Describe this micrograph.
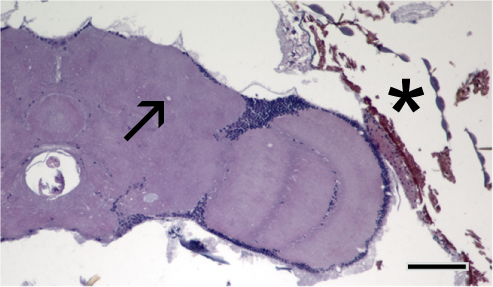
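This section shows a fly brain with the retina at its right edge, in hematoxylin and eosin. Pale pink neuropil fills most of the brain, bordered by dark purple bands of closely packed nuclei. The retina is thin, irregular and partly detached, with loose fragments lying between it and the head cuticle. The holes are vacuoles, a sign of neurodegeneration, and the retina shows degeneration.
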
